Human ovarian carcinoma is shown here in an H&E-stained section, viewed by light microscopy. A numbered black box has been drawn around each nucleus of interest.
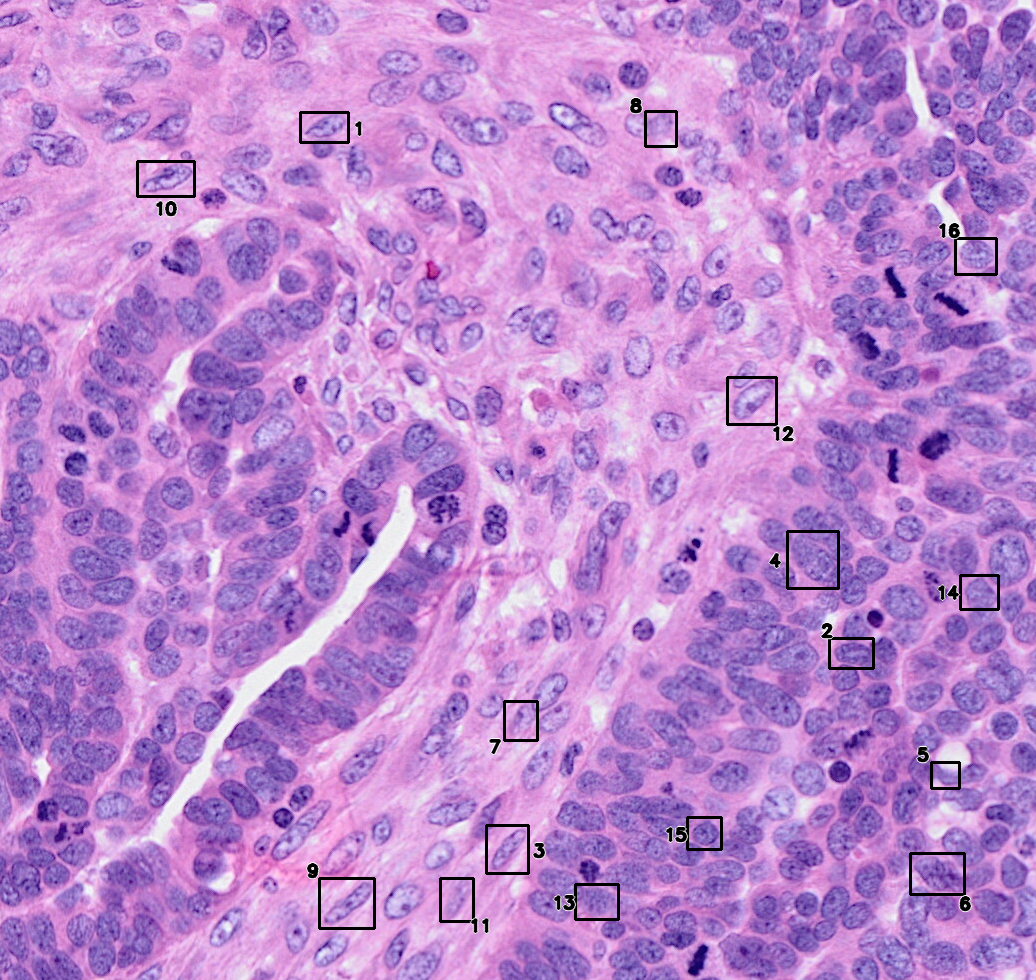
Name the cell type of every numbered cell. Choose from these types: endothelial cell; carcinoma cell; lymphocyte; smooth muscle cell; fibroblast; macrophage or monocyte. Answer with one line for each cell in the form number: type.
1: fibroblast
2: carcinoma cell
3: fibroblast
4: carcinoma cell
5: carcinoma cell
6: carcinoma cell
7: fibroblast
8: fibroblast
9: fibroblast
10: fibroblast
11: fibroblast
12: fibroblast
13: carcinoma cell
14: carcinoma cell
15: carcinoma cell
16: carcinoma cell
